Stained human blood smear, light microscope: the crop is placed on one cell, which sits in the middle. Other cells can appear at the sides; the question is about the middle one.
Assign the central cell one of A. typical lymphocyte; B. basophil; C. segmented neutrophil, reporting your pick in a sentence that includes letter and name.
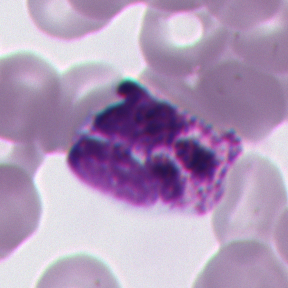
In this crop the central cell is a basophil, which option B correctly states.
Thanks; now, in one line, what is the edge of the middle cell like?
Projections or ragged segments give this cell an irregular rather than smooth border.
